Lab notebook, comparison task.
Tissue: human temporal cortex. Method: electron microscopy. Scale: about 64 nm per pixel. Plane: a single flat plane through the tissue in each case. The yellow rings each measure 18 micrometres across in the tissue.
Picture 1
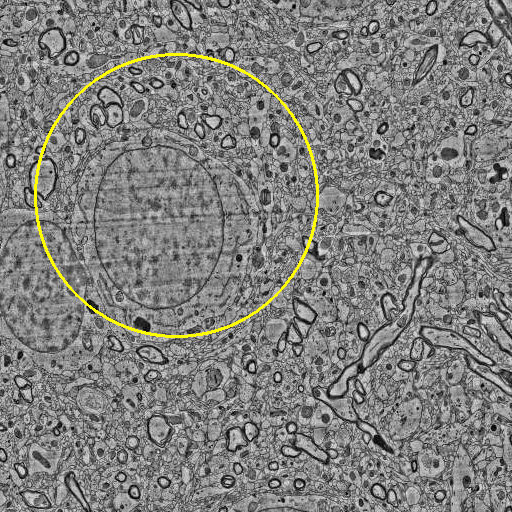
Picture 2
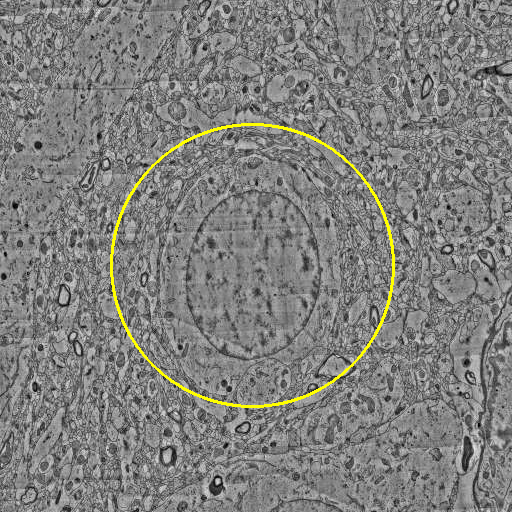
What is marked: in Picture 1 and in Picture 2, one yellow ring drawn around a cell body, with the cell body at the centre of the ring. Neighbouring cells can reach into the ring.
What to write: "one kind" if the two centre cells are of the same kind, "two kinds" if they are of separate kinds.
one kind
